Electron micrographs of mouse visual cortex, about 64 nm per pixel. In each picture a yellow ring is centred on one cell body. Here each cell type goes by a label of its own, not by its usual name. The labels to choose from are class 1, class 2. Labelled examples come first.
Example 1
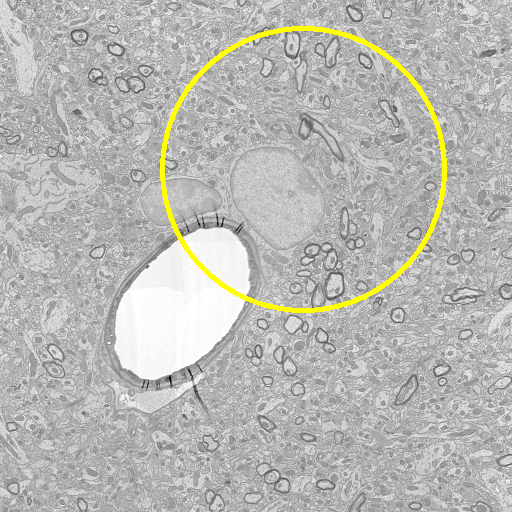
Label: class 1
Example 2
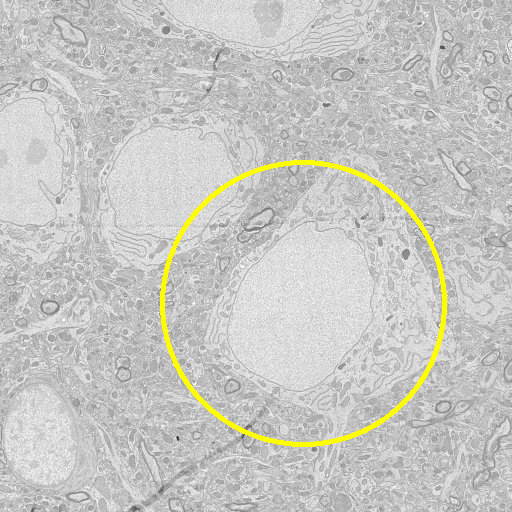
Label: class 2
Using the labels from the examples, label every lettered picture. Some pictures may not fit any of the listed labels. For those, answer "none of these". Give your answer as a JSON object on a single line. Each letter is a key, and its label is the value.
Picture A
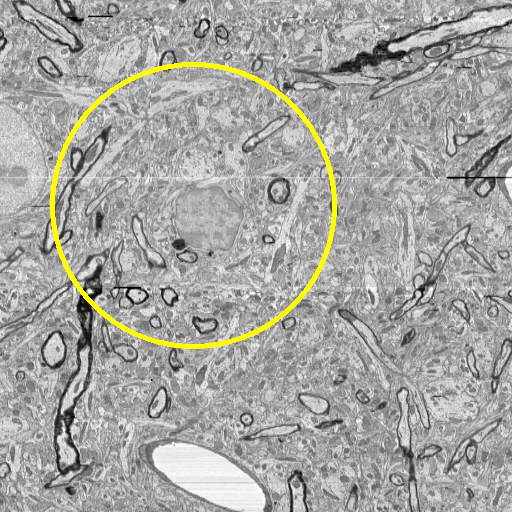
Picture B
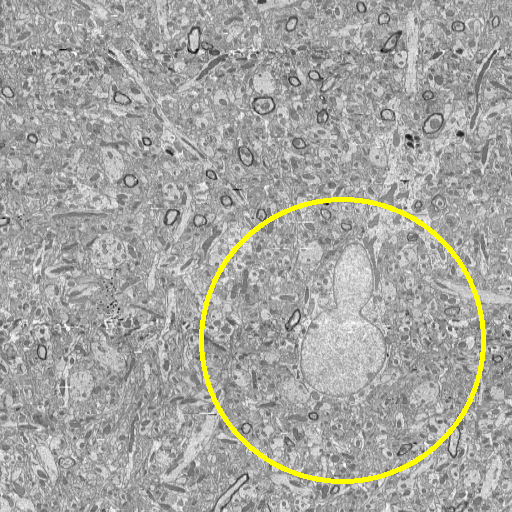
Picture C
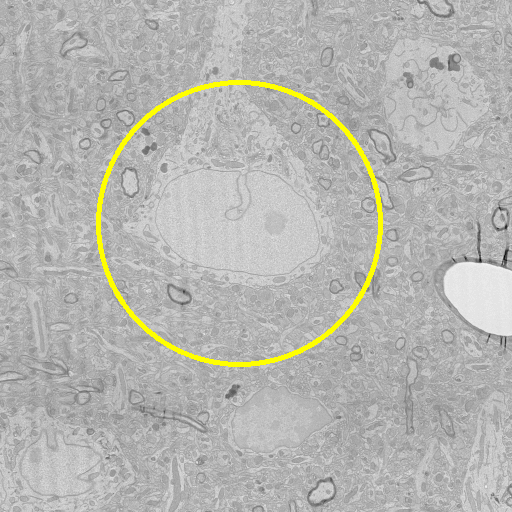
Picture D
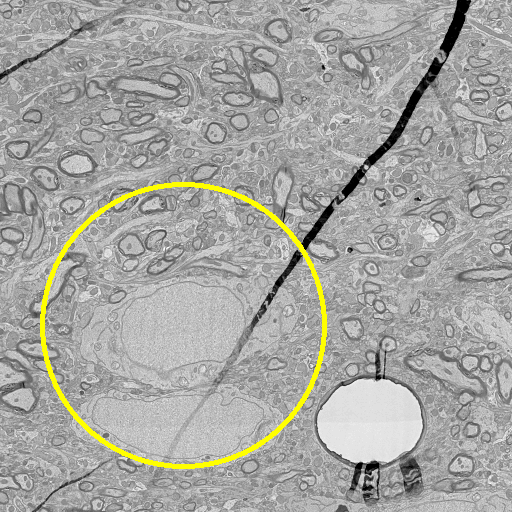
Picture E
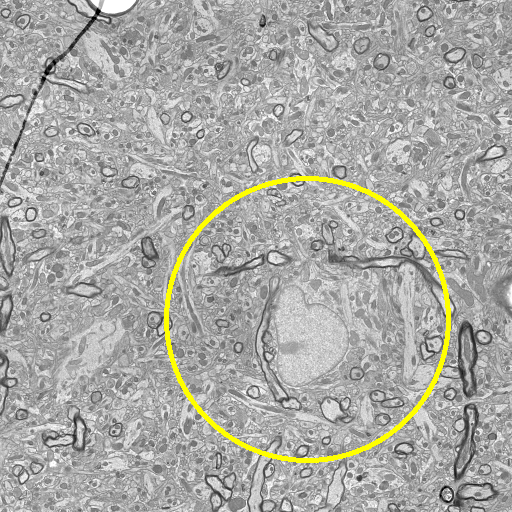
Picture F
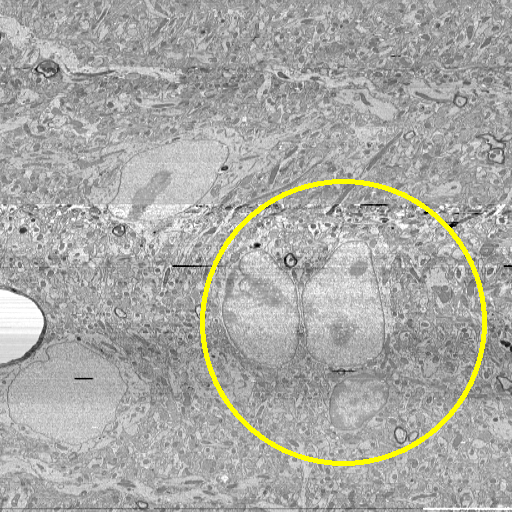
{"A": "none of these", "B": "class 1", "C": "class 2", "D": "class 2", "E": "class 1", "F": "class 1"}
